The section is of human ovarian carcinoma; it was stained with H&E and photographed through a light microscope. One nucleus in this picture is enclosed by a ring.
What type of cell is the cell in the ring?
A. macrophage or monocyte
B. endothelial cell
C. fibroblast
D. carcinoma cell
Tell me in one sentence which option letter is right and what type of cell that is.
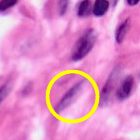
Here the cell in the ring is a fibroblast, which makes option C correct.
